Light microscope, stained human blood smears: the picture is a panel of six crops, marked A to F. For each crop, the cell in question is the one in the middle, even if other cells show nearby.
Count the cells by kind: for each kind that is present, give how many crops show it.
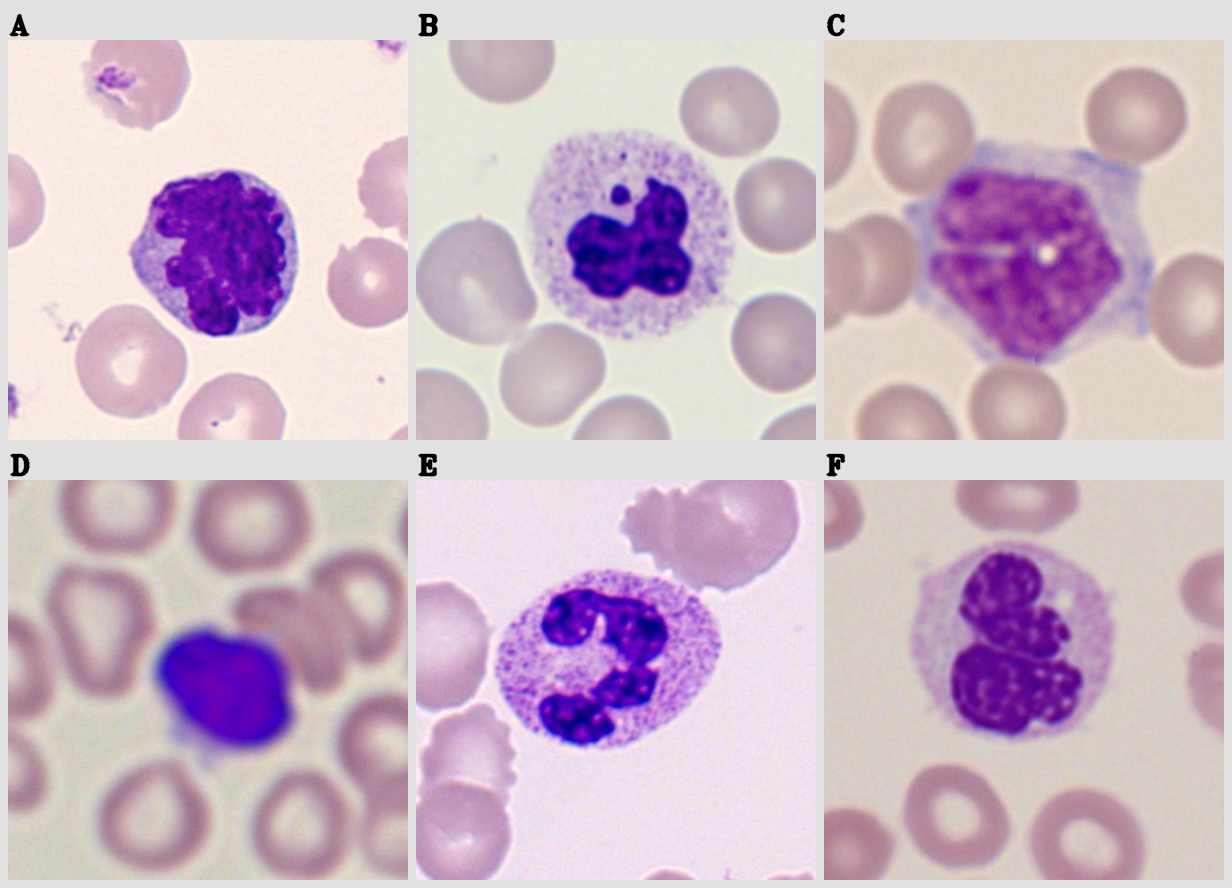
monocyte: 3
segmented neutrophil: 2
lymphocyte: 1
